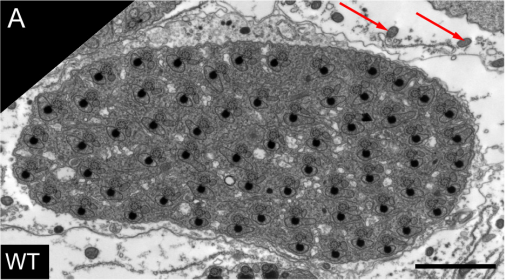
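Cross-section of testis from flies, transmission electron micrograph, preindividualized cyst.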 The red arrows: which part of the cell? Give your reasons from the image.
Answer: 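The arrows point to small oval organelles with internal membranes outside the tightly packed cyst. These organelles lie in the surrounding cell, not among the spermatid profiles. So: Somatic mitochondria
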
